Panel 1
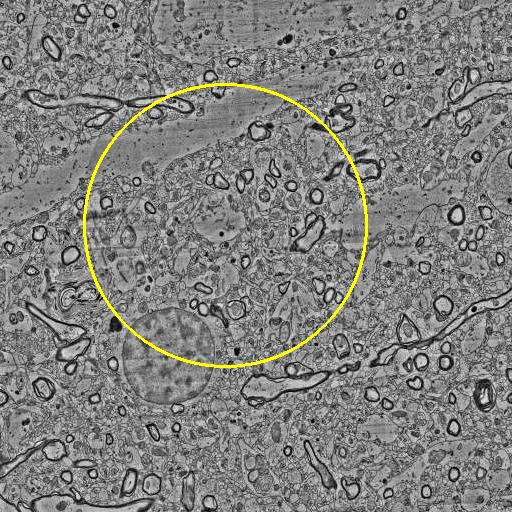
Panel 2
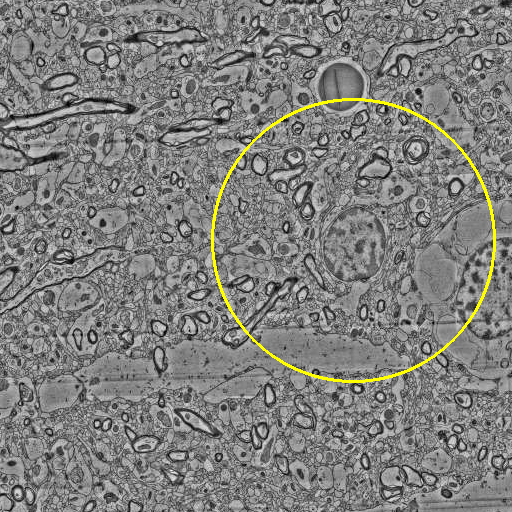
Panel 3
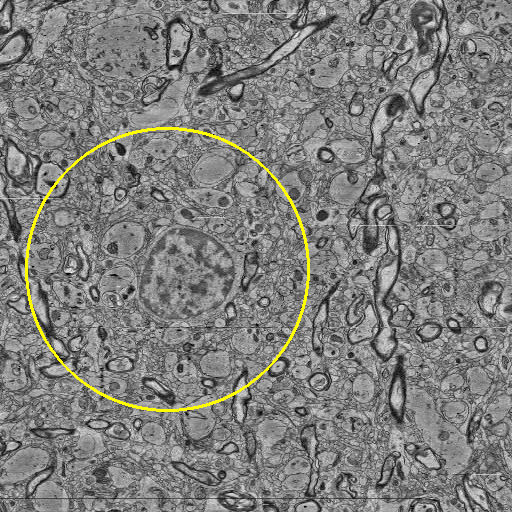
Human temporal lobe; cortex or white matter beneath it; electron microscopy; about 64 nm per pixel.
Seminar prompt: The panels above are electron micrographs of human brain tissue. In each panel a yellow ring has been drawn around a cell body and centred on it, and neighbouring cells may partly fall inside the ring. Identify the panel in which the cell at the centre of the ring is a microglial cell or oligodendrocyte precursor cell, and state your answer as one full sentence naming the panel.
Panel 2 has it at the centre of its ring.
